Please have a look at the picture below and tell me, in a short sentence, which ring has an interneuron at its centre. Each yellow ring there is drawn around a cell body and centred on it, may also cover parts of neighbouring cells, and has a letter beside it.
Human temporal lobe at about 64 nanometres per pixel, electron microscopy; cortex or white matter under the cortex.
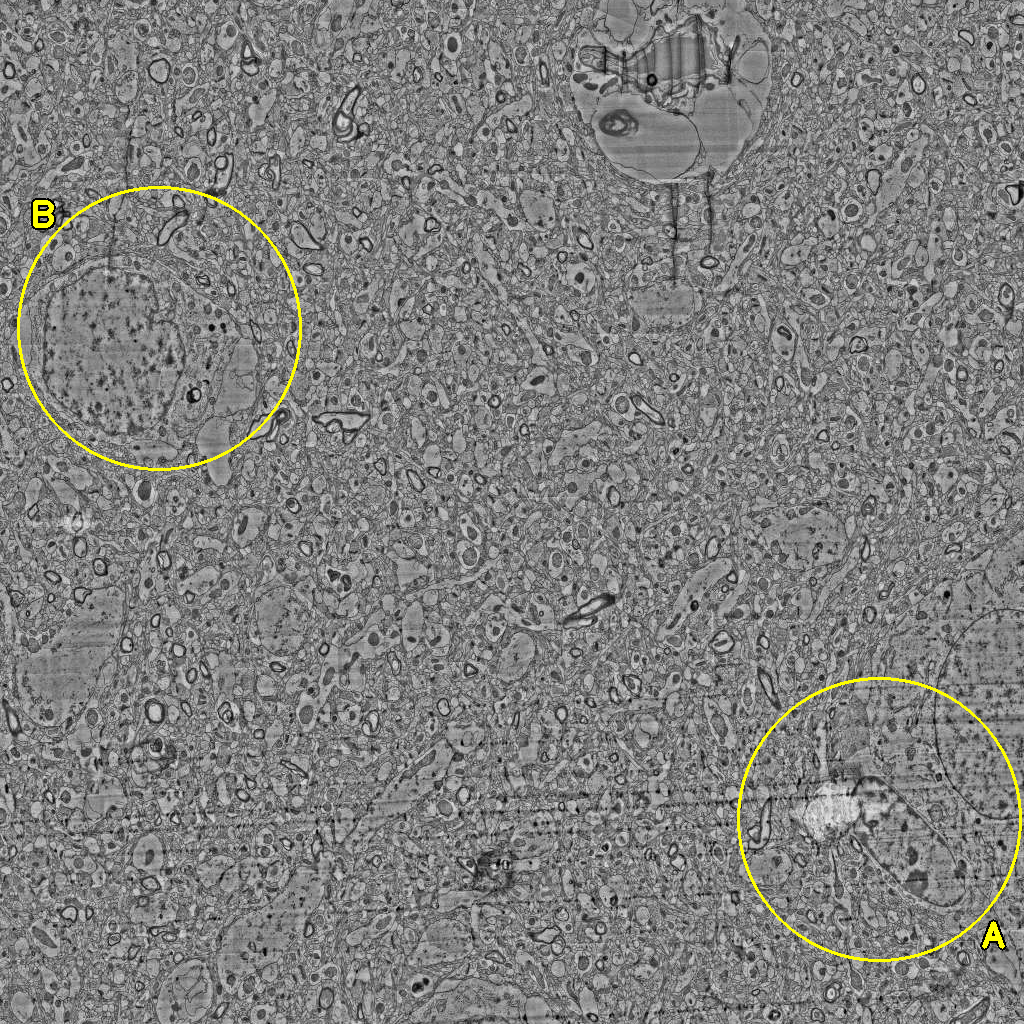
Ring B is centred on it.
